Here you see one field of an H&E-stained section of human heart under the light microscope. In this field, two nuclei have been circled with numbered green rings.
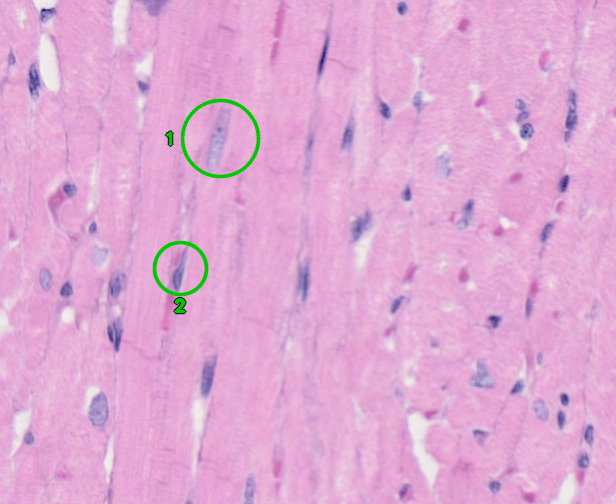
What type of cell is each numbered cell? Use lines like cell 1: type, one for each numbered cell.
cell 1: cardiomyocyte
cell 2: endothelial cell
